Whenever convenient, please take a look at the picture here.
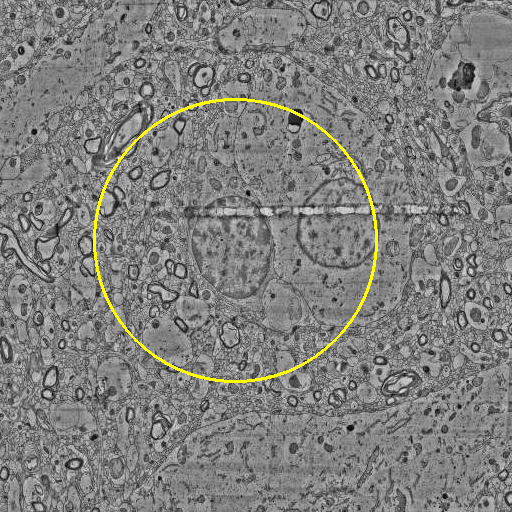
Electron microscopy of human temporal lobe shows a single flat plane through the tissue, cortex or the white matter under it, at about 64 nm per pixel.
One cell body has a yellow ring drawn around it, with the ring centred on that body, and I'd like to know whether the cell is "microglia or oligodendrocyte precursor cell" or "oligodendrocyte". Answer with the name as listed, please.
oligodendrocyte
